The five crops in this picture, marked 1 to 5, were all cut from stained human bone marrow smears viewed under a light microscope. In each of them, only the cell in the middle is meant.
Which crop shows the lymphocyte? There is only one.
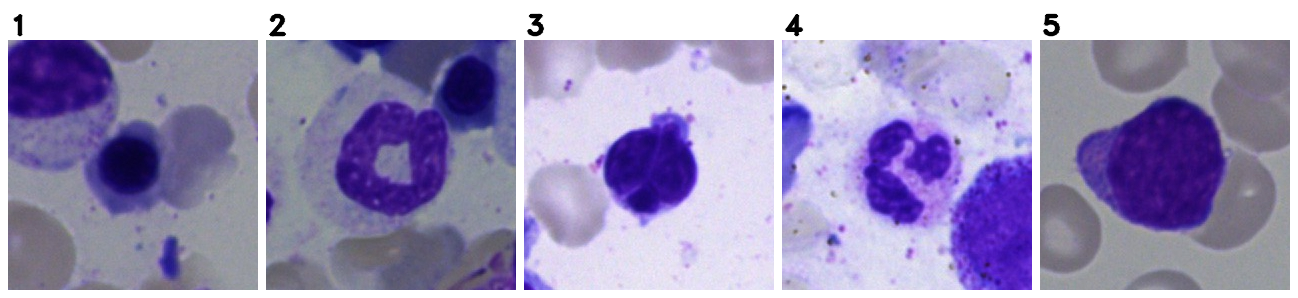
3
